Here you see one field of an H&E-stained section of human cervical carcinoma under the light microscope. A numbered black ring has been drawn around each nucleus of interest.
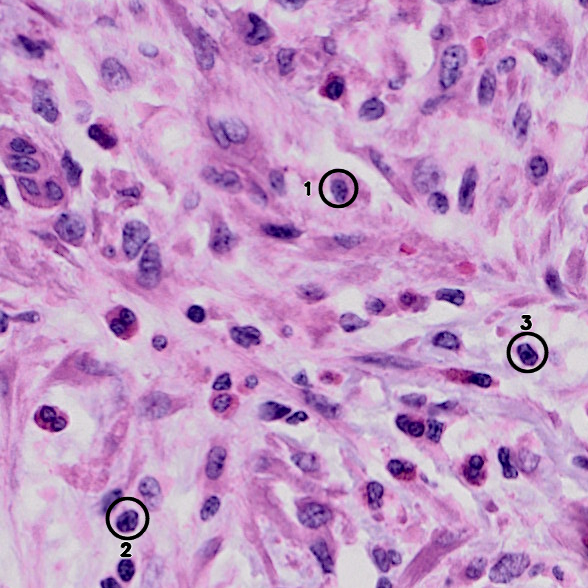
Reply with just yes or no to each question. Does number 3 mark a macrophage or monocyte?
no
